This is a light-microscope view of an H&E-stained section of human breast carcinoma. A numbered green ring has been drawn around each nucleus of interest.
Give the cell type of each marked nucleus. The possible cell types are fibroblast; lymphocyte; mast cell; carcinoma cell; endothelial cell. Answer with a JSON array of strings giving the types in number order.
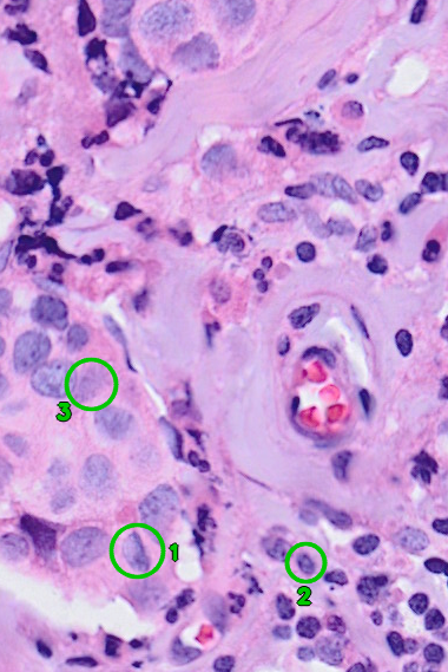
["carcinoma cell", "mast cell", "carcinoma cell"]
